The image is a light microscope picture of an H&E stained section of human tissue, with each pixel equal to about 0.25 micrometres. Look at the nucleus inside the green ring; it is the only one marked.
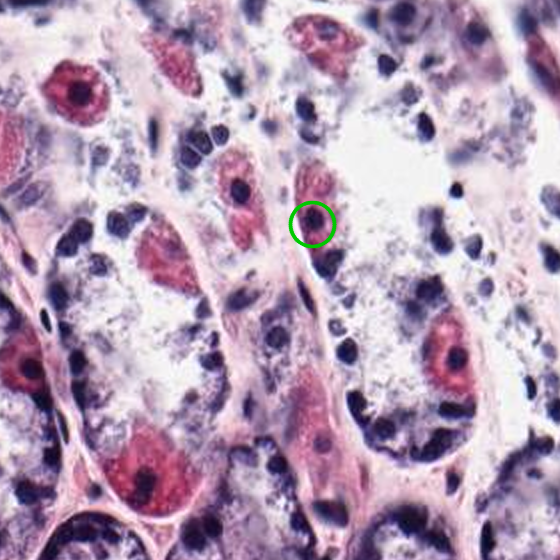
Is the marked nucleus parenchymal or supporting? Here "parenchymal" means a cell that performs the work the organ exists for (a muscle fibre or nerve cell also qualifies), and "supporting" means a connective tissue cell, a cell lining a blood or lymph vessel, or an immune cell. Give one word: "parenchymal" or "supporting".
parenchymal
